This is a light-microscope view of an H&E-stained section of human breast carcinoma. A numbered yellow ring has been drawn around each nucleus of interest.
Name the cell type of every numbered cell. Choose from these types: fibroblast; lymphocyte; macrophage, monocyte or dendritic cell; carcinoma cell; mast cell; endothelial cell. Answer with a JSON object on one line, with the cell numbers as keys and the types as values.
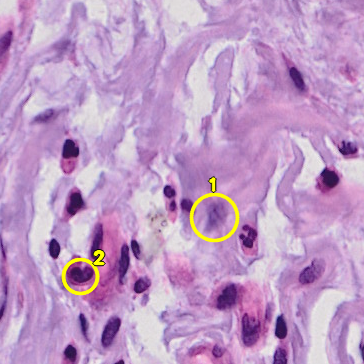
{"1": "fibroblast", "2": "mast cell"}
